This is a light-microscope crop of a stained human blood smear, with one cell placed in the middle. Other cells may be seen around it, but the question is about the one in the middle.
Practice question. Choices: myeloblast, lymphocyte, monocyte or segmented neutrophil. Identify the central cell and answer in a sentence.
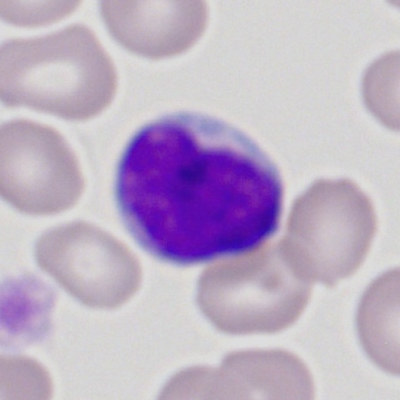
Classified as a myeloblast is the cell in the middle of this crop.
